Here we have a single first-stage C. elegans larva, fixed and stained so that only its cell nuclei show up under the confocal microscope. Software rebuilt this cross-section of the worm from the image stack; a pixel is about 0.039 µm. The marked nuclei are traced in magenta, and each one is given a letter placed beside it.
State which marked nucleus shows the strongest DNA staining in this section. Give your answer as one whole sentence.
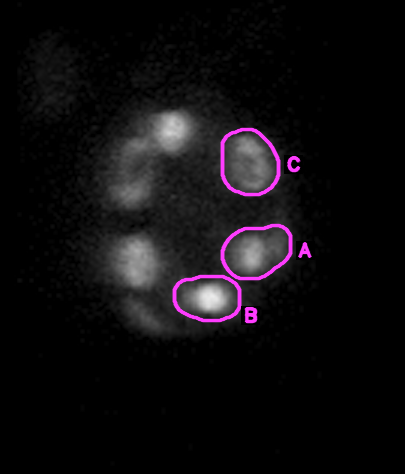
Nucleus B shows the strongest staining.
